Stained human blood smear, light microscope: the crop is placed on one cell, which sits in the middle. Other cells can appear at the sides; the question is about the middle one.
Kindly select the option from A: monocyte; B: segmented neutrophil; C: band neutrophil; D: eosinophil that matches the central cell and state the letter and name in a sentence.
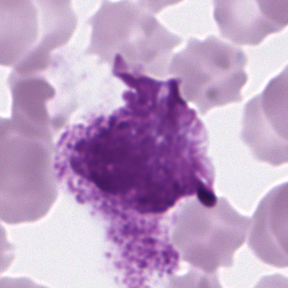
The centered cell is an eosinophil, which is why option D is right.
